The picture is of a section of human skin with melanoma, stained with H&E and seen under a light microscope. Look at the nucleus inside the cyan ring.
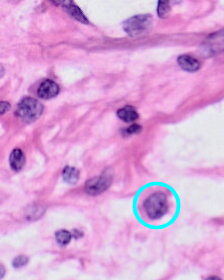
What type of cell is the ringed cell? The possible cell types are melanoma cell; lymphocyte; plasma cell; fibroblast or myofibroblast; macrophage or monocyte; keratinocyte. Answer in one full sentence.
So far as cell type goes, the ringed cell is a macrophage or monocyte.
